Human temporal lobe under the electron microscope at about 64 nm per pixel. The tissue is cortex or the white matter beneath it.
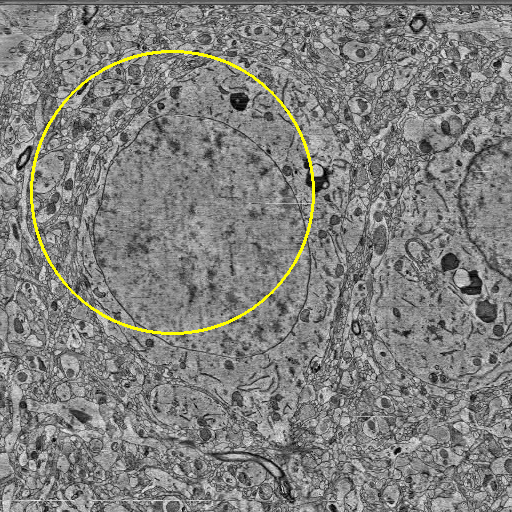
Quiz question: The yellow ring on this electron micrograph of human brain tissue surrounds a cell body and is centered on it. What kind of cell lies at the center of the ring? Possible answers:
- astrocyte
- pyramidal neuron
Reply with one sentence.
The ring's center lies on a pyramidal neuron.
